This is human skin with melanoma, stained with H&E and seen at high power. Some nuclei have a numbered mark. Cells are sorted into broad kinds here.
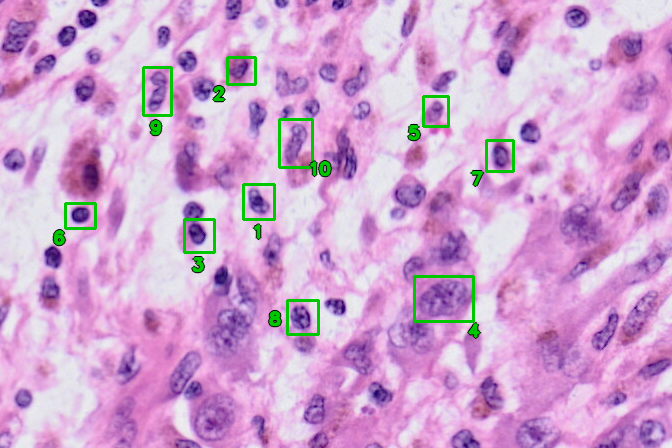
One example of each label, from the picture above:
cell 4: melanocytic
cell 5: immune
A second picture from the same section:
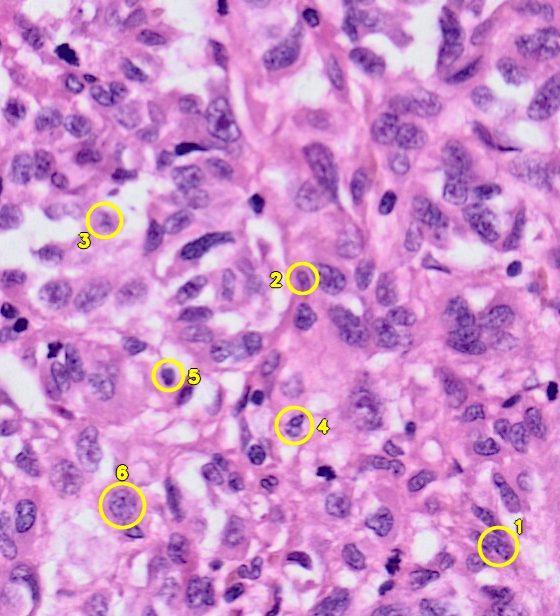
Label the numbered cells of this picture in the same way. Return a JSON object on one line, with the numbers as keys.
{"1": "melanocytic", "2": "melanocytic", "3": "melanocytic", "4": "immune", "5": "immune", "6": "melanocytic"}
